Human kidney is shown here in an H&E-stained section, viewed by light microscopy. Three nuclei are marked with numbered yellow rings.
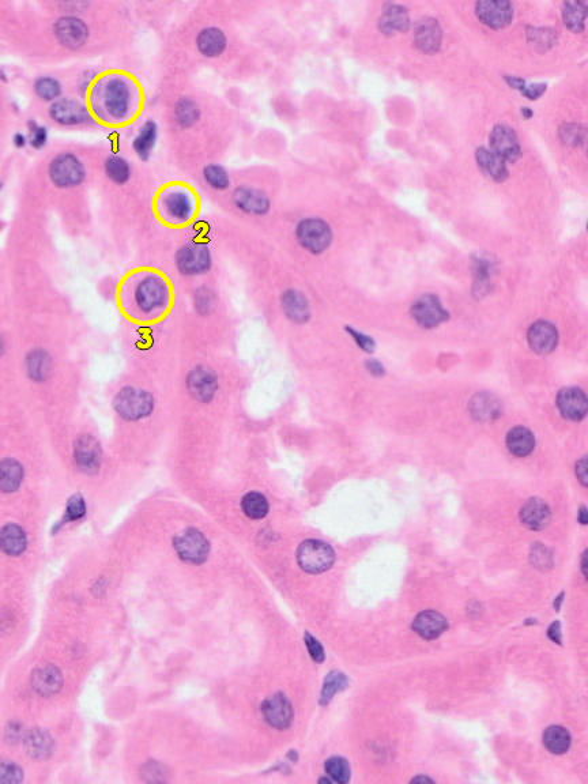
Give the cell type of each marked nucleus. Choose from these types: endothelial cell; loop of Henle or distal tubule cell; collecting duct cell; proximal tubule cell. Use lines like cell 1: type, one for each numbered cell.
cell 1: collecting duct cell
cell 2: endothelial cell
cell 3: proximal tubule cell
